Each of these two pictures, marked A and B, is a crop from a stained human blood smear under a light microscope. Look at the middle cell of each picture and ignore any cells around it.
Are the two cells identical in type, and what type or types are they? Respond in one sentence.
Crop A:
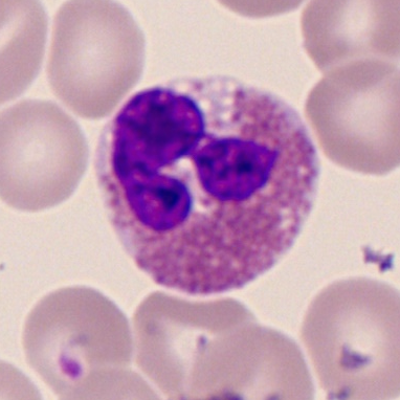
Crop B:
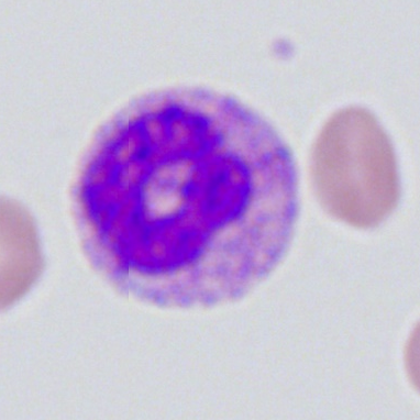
No, at the centre of crop A is an eosinophil, and at the centre of crop B is a band neutrophil.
